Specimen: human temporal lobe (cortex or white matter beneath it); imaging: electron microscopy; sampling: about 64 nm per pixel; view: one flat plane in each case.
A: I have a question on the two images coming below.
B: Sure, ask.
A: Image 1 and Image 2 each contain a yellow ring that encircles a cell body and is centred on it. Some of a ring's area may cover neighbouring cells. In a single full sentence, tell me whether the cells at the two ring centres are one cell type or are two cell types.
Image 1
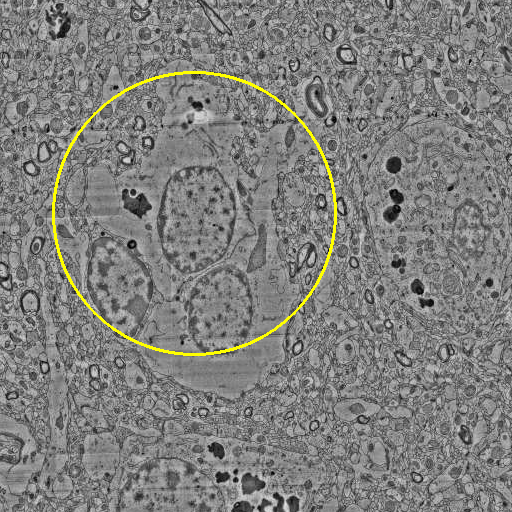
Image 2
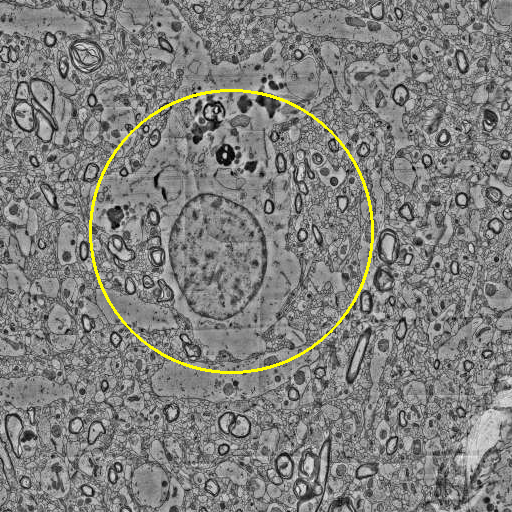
As for the ring-centre cells, the one in Image 1 and the one in Image 2 are one cell type.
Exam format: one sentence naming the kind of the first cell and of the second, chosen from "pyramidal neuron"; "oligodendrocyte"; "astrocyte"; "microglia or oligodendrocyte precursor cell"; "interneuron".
Both cells are the same kind, each one being an astrocyte.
